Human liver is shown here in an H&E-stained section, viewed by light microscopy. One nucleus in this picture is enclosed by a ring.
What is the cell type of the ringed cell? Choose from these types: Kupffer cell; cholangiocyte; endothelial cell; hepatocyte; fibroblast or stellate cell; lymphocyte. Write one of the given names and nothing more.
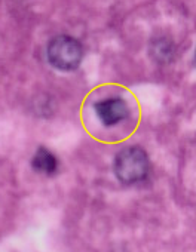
endothelial cell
